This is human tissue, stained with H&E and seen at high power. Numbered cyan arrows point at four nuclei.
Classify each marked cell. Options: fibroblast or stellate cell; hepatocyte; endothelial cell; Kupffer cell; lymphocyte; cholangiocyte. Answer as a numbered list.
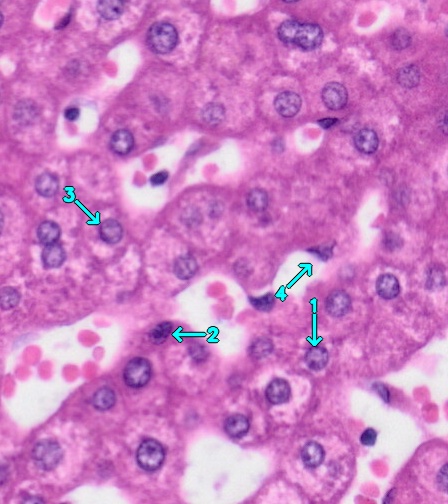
1. hepatocyte
2. fibroblast or stellate cell
3. hepatocyte
4. endothelial cell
